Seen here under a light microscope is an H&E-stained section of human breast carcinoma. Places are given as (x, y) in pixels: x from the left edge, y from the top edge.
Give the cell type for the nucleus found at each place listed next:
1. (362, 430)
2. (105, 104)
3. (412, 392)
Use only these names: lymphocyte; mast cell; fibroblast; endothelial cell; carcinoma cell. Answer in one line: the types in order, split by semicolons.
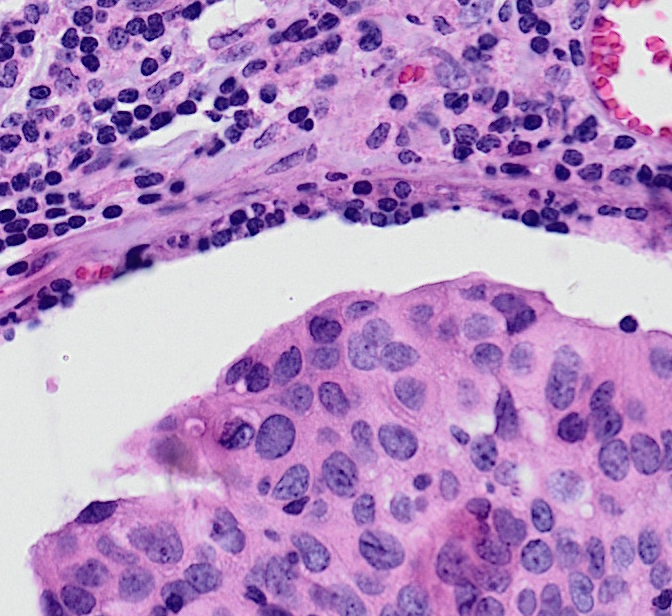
carcinoma cell; lymphocyte; carcinoma cell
